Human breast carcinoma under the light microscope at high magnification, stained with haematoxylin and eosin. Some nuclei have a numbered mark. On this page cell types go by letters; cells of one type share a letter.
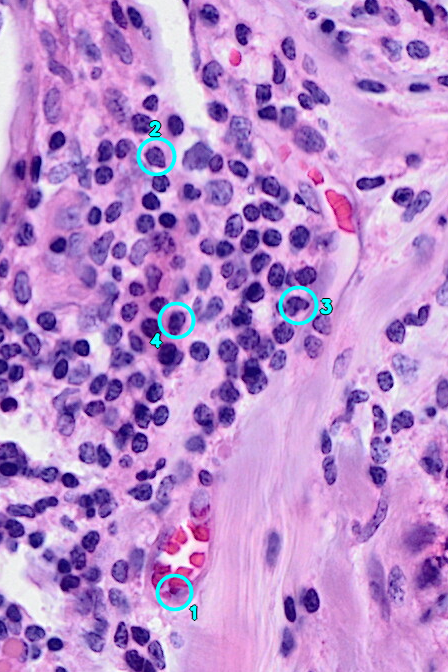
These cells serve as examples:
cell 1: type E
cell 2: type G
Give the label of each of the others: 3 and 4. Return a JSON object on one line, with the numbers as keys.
{"3": "type G", "4": "type G"}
